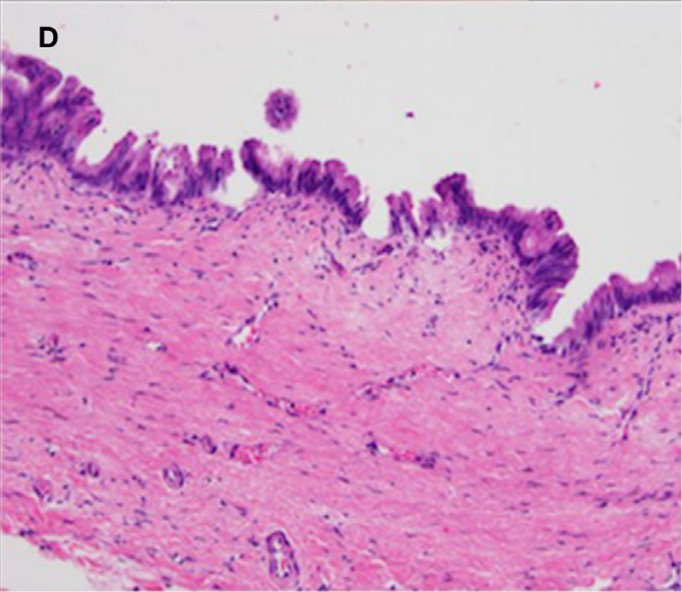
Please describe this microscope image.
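This is the wall of a cyst, lined on its inner surface by mucin-type columnar epithelium resting on fibrous stroma. The lining is a single, in places crowded, layer of tall cells with pale apical cytoplasm and elongated, dark purple nuclei set toward the base. Along its length the epithelium rises into small papillary tufts projecting into the lumen, and a small detached cluster of cells floats free above. Below the lining lies a broad band of pink, wavy fibrous stroma with scattered spindle-shaped nuclei and a few small blood vessels.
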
